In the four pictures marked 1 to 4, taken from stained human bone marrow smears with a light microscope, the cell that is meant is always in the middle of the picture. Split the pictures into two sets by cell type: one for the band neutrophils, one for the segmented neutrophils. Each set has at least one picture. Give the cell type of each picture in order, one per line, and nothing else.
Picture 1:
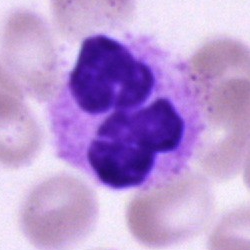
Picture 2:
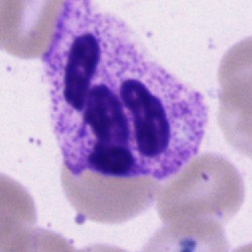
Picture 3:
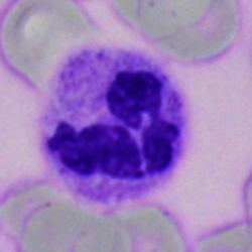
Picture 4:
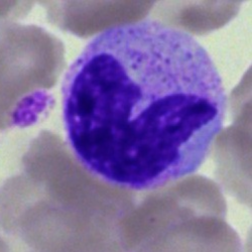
segmented neutrophil
segmented neutrophil
segmented neutrophil
band neutrophil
